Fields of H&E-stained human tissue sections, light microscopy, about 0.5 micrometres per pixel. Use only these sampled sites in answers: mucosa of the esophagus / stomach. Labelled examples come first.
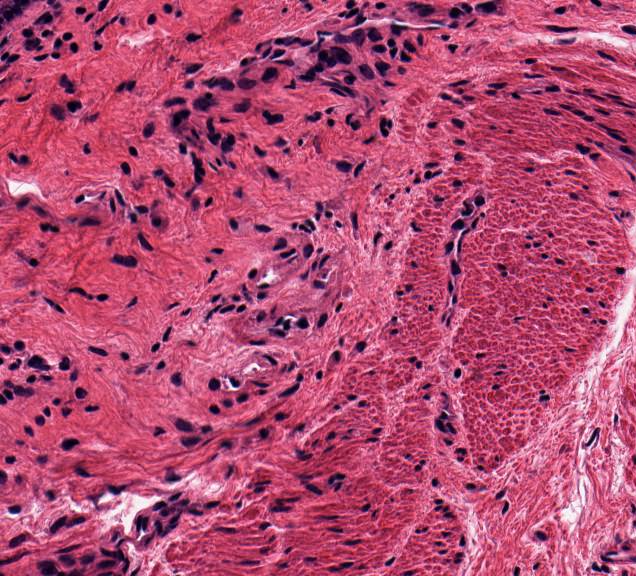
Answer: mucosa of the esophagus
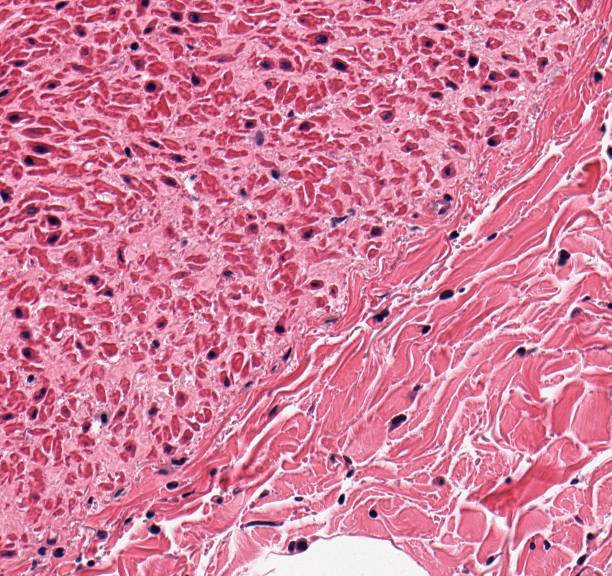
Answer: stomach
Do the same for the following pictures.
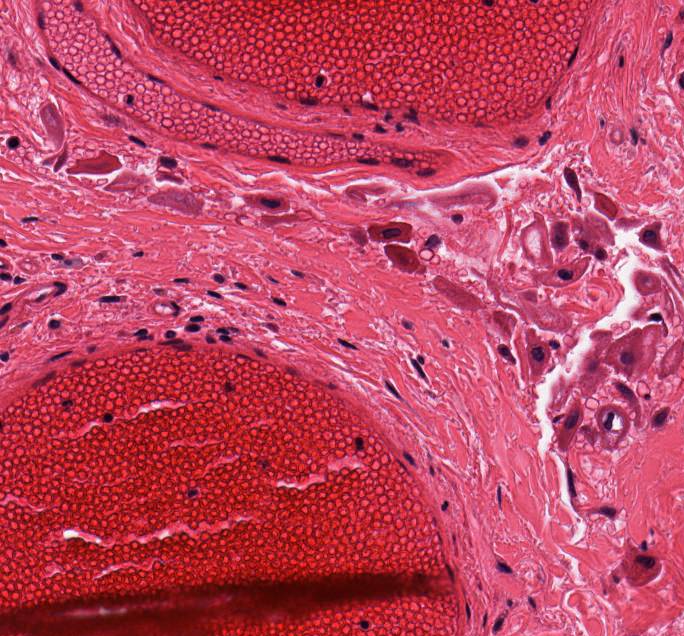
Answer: mucosa of the esophagus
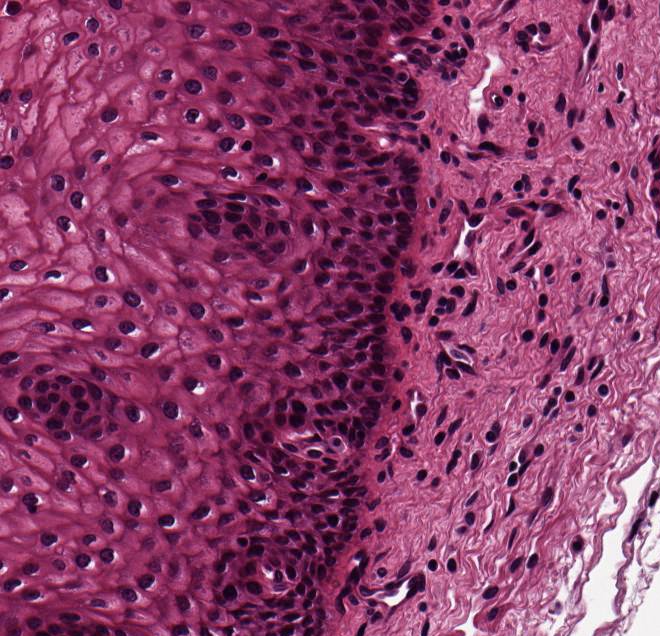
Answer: mucosa of the esophagus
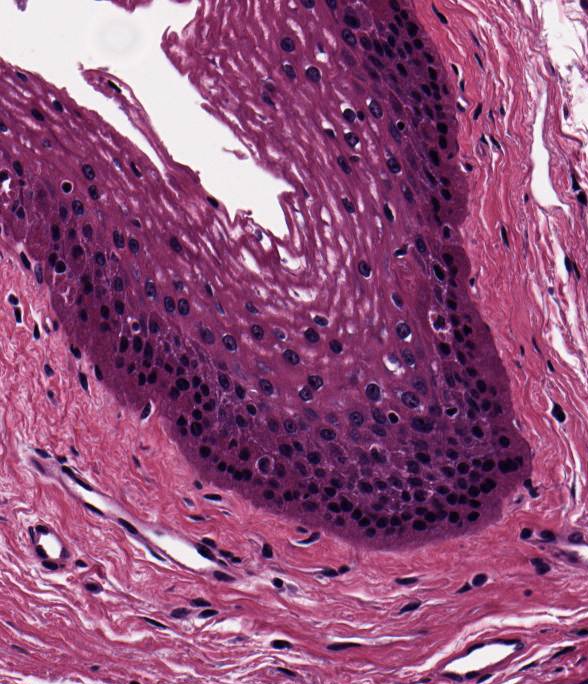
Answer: mucosa of the esophagus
